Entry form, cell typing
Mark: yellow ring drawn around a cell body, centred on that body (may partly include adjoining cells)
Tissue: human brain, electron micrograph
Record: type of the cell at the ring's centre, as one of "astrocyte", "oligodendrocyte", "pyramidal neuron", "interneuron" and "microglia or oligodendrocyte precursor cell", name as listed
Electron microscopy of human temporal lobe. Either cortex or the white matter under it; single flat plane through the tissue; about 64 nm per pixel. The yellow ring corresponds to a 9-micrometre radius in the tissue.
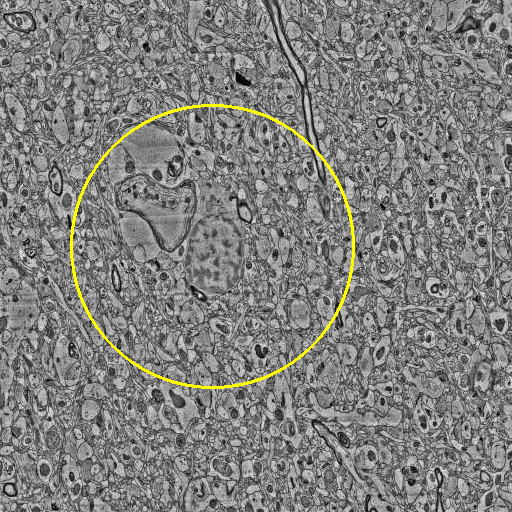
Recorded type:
oligodendrocyte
